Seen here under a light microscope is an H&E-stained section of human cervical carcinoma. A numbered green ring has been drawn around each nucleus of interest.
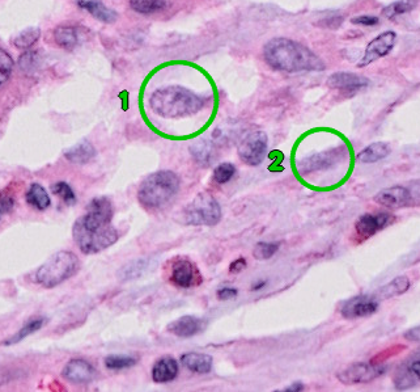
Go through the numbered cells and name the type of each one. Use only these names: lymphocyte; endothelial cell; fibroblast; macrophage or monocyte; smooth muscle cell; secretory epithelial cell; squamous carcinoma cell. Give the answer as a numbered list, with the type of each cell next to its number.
1. macrophage or monocyte
2. fibroblast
